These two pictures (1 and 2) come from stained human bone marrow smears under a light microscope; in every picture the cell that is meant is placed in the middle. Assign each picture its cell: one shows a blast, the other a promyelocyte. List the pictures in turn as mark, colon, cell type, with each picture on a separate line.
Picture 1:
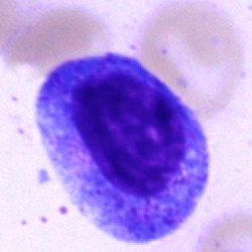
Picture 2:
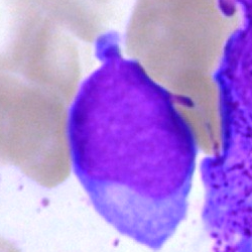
1: promyelocyte
2: blast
